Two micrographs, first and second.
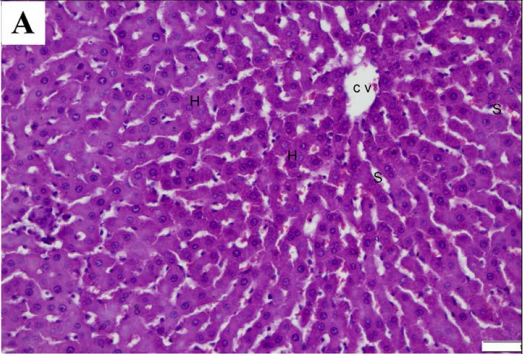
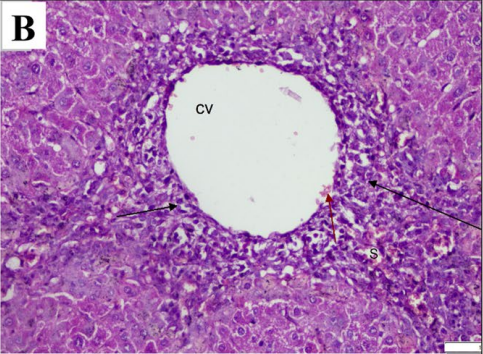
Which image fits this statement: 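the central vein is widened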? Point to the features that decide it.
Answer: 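The second image. Second image: the central vessel is a large, round, empty lumen taking up much of the field. First image: the central vessel is a small, narrow lumen among the hepatocyte cords.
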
